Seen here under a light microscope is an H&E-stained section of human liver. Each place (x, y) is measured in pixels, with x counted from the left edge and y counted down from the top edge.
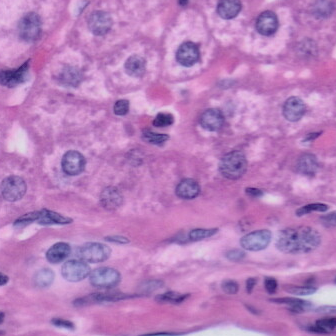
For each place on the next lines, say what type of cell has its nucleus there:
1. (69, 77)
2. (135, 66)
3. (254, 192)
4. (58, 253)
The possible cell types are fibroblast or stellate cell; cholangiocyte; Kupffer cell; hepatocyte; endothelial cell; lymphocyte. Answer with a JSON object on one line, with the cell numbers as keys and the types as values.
{"1": "hepatocyte", "2": "hepatocyte", "3": "fibroblast or stellate cell", "4": "cholangiocyte"}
